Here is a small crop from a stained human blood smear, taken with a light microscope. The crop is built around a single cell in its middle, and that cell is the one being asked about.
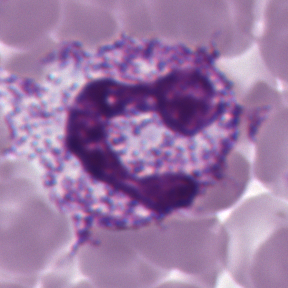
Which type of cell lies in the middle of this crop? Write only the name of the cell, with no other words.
segmented neutrophil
